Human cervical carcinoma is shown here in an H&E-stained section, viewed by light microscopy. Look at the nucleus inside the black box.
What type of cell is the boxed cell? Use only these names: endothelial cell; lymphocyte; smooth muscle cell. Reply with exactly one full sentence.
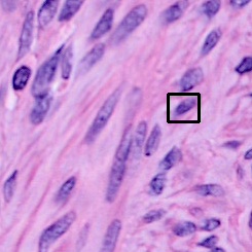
Considered by cell type, the boxed cell is a smooth muscle cell.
